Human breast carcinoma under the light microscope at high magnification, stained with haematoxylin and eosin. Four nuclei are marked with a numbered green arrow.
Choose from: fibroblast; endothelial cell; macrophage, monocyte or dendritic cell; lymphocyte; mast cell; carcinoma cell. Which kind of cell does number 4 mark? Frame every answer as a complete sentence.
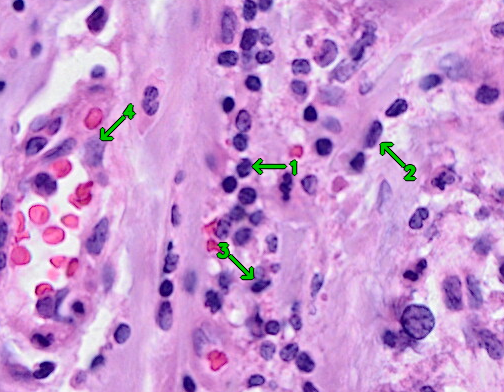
The mark numbered 4 indicates the nucleus of an endothelial cell.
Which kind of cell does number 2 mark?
The cell whose nucleus carries the number 2 is a lymphocyte.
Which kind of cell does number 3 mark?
The cell marked with number 3 is a lymphocyte.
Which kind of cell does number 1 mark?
The numbered cell 1 in this field is a lymphocyte.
